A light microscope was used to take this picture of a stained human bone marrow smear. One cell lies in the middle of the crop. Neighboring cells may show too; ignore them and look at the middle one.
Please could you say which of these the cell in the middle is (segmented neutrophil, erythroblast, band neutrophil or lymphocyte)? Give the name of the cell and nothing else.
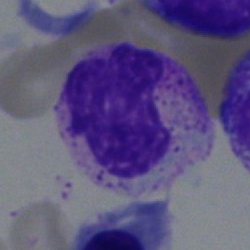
band neutrophil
